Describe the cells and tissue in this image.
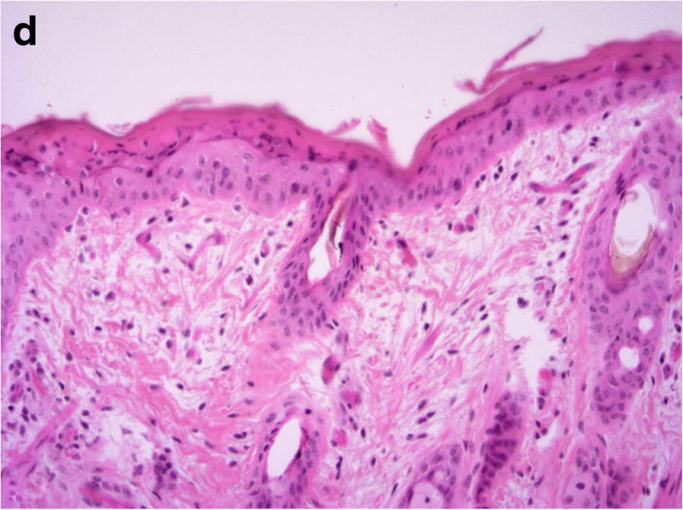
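Skin with a thin stratified squamous epidermis capped by a compact pink keratin layer. The underlying dermis is loose and pale, its pink collagen made of thin, short, wispy fibres without orientation and with wide clear spaces between them. Scattered spindle and round nuclei lie in the dermis, and small follicle-like epithelial structures and vessels cut across it.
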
